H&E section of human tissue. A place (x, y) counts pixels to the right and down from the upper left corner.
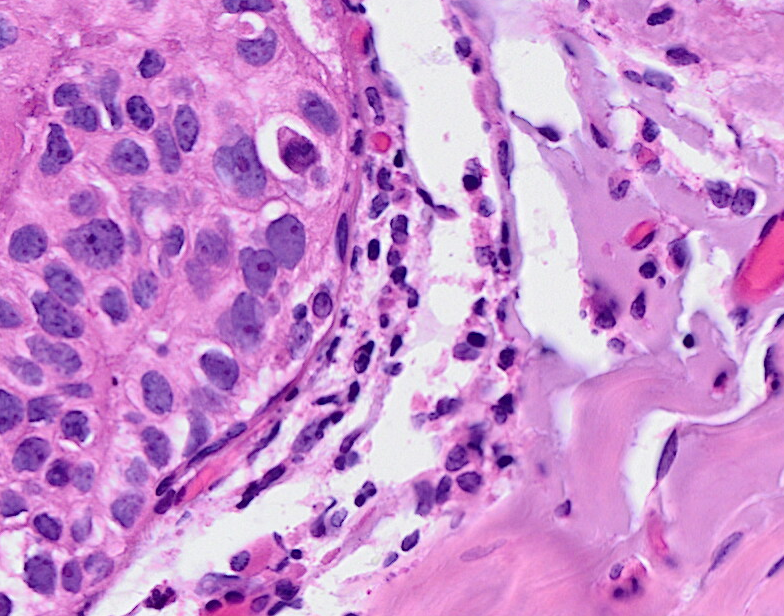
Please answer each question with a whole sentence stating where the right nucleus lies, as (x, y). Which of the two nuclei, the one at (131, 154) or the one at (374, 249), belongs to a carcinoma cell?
The nucleus that belongs to a carcinoma cell is located at (131, 154).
